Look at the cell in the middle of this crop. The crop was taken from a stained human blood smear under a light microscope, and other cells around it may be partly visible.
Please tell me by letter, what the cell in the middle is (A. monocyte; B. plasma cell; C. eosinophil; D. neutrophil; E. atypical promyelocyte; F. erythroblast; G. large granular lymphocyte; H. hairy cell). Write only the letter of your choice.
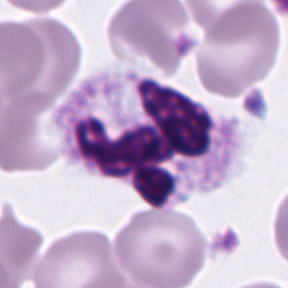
D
